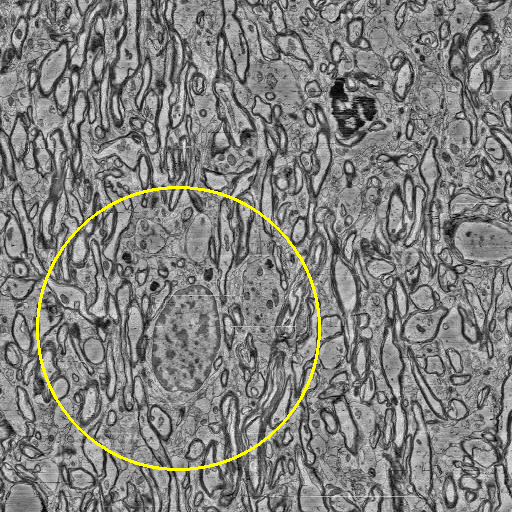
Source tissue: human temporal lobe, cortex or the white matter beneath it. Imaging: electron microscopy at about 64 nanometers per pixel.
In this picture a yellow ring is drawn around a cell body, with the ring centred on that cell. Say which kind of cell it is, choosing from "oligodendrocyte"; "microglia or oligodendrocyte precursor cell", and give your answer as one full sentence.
Here it is a microglial cell or oligodendrocyte precursor cell that sits at the centre of the drawn yellow ring.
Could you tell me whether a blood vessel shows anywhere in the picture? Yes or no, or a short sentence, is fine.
No, there is no blood vessel in the image.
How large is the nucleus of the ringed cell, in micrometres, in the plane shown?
About 7 by 4 micrometres; in this plane the nucleus is clearly longer than it is wide.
